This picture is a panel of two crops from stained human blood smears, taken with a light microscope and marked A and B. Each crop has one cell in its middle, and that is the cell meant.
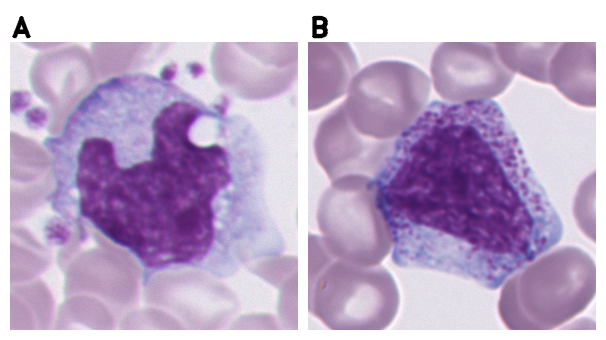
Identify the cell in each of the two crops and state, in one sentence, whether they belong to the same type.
No, look again: crop A shows a monocyte, and crop B shows a promyelocyte.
